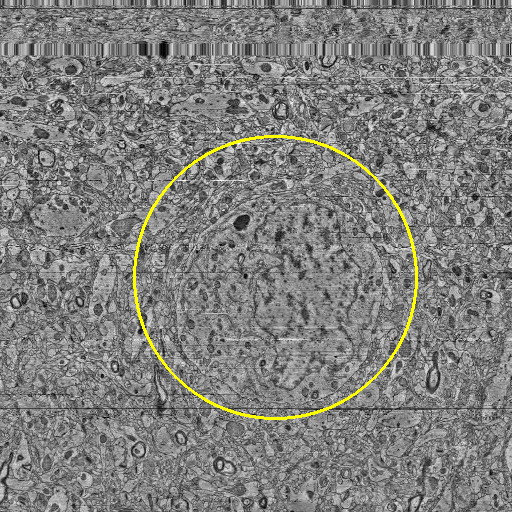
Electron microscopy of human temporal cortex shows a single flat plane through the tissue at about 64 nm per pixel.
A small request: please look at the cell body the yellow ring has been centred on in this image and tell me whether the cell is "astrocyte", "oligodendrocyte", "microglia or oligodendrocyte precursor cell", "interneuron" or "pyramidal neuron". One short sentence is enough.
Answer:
The cell marked by the ring is an interneuron.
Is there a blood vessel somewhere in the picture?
No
